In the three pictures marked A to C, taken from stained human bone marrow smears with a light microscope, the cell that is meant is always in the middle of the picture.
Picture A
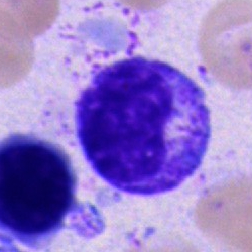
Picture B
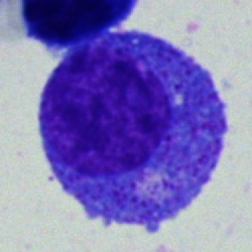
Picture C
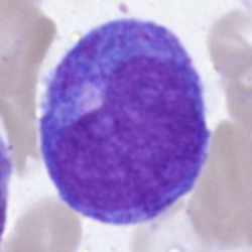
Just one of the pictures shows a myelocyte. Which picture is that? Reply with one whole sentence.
Picture A is the one that shows the myelocyte.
